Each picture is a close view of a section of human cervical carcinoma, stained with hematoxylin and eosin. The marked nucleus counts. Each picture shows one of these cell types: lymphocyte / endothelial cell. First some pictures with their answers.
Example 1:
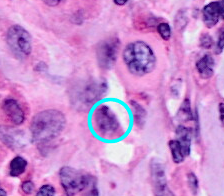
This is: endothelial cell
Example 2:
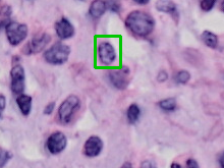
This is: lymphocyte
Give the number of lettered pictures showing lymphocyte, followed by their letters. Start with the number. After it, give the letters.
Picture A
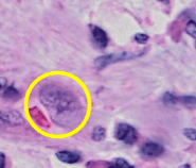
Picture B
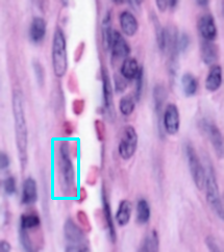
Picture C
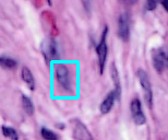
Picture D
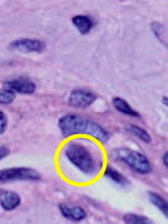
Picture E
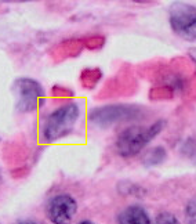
0, none of them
